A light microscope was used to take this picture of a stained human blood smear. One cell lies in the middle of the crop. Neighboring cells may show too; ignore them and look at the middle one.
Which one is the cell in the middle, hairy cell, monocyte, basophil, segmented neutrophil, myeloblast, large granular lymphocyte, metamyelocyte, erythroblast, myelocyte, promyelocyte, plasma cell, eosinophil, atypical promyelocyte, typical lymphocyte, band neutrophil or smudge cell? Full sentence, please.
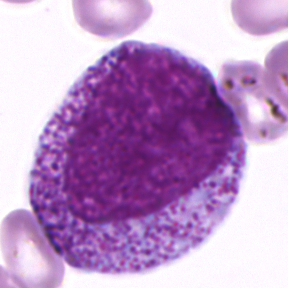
Here the centrally located cell is a promyelocyte.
